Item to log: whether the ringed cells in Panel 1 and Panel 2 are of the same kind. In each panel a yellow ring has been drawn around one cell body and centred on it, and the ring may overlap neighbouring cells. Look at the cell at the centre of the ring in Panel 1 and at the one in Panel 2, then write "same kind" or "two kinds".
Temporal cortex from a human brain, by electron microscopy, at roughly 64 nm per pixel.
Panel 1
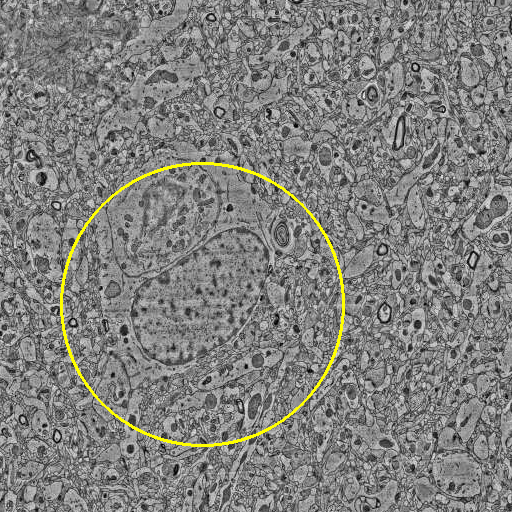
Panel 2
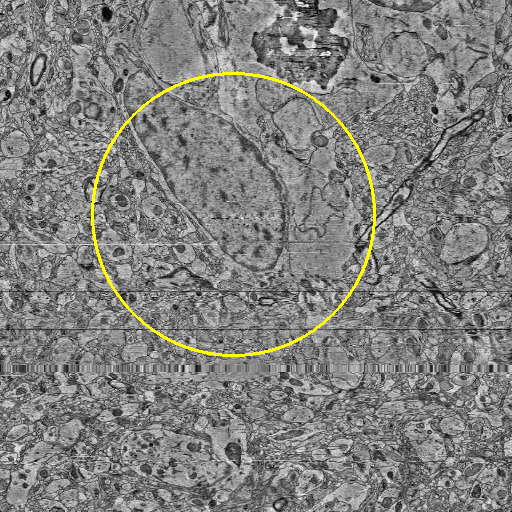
same kind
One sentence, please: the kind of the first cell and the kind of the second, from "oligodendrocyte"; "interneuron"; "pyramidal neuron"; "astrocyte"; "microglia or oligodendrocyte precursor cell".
Each cell at the centre of a ring is a microglial cell or oligodendrocyte precursor cell.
